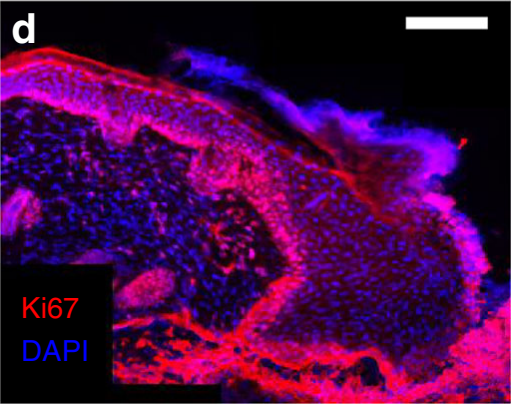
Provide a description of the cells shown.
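This is the edge of a healing skin wound, where a thick tongue of keratinocytes grows out as a rounded, bulging epithelial sheet. The sheet is packed with small, round to oval nuclei that stain blue. The cells in the interior of the tongue show mostly blue nuclei without red. At the surface lies a looser, paler purplish layer.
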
